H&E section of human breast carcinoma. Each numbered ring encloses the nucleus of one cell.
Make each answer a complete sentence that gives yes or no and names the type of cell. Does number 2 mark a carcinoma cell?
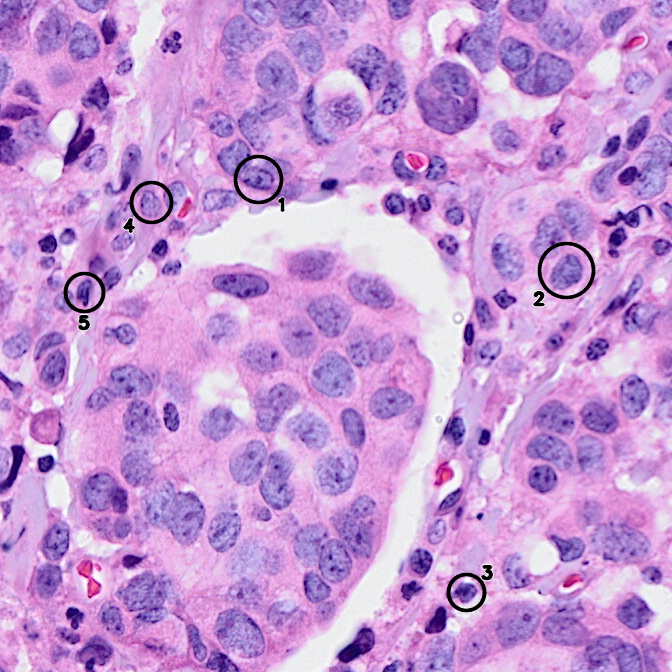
Yes, the cell at marker 2 is a carcinoma cell.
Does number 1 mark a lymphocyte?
No, the identification of cell 1 as a lymphocyte is incorrect; it is a carcinoma cell.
